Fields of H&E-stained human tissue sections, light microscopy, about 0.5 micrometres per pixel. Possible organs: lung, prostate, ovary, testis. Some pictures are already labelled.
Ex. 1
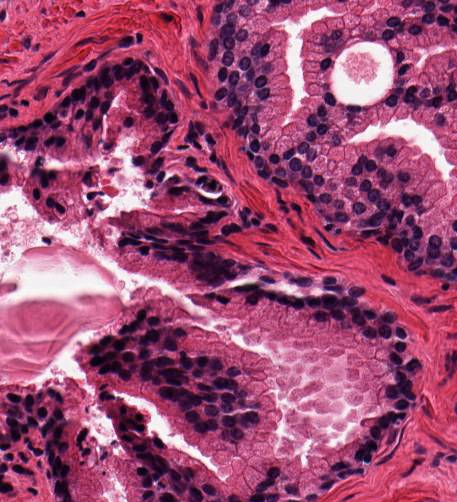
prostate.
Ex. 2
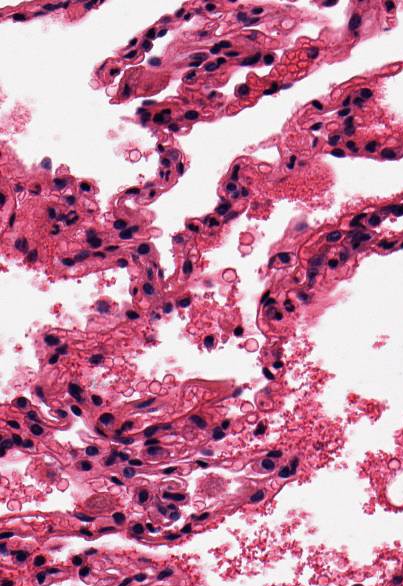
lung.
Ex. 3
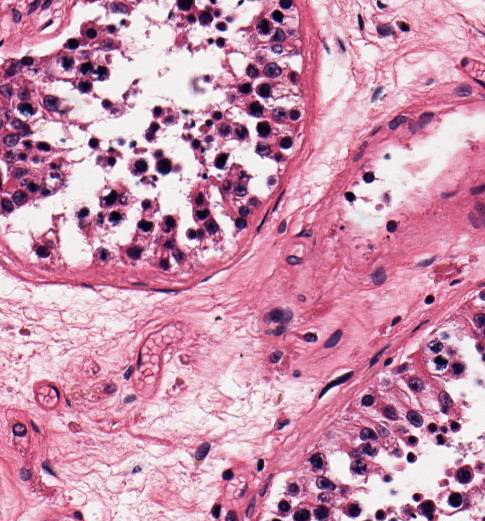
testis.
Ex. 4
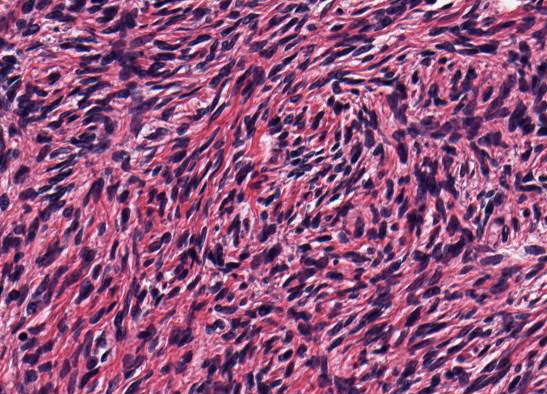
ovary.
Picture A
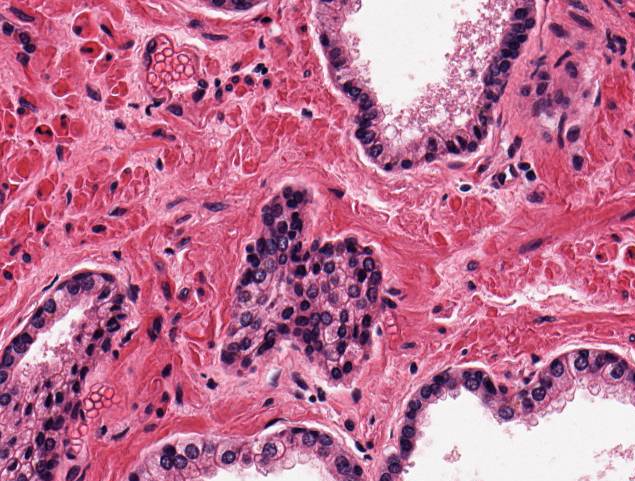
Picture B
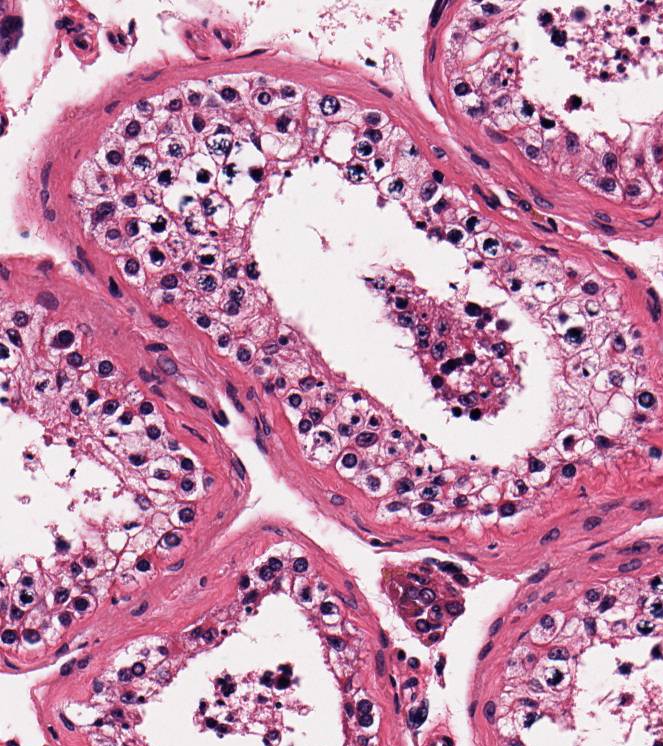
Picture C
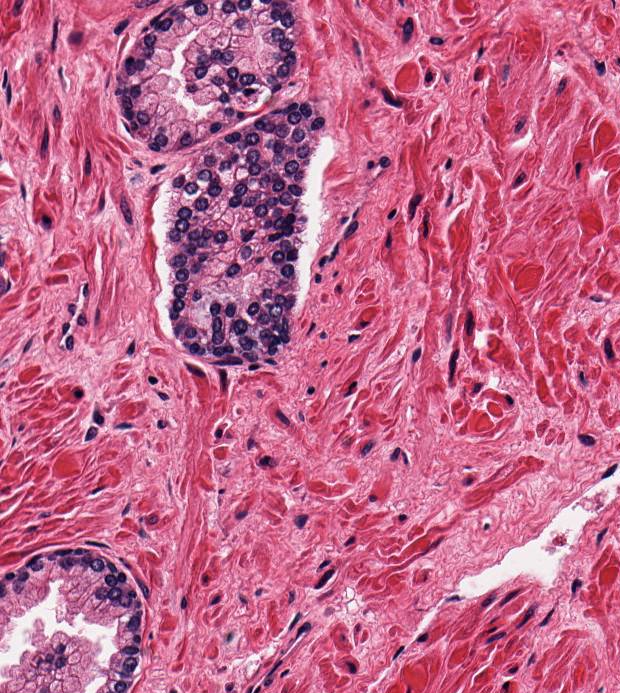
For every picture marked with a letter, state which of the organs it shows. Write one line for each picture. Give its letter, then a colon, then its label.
A: prostate.
B: testis.
C: prostate.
